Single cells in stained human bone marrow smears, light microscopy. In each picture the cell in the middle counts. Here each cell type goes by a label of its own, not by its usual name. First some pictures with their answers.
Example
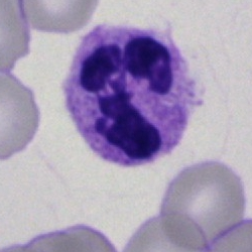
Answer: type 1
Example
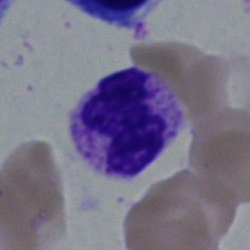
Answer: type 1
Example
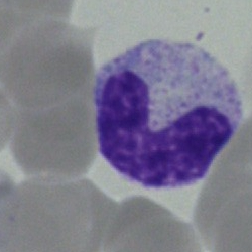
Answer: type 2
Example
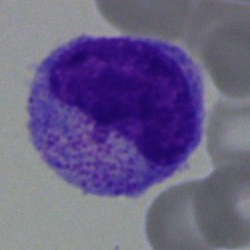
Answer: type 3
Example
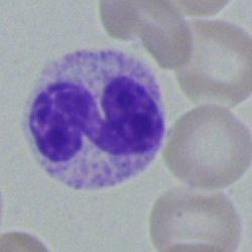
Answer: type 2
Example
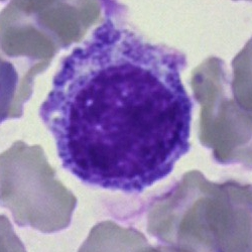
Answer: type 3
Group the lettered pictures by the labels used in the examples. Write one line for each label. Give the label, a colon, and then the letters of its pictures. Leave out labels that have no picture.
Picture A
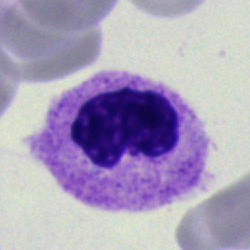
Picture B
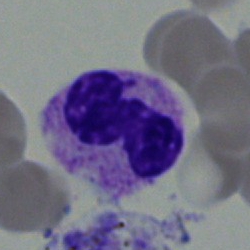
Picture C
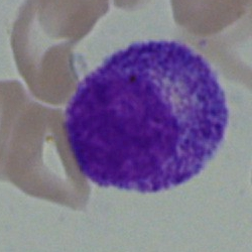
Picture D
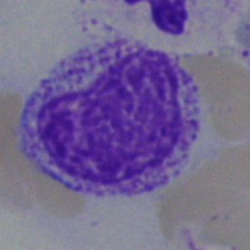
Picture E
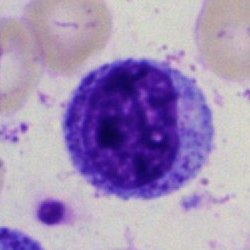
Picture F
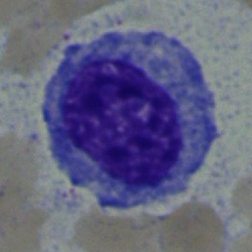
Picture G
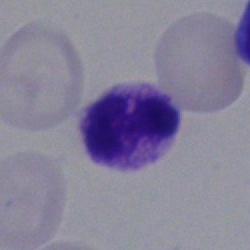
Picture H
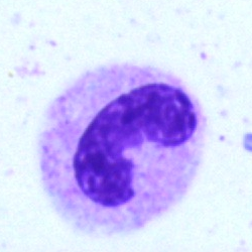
type 1: G
type 2: A, B, H
type 3: C, D, E, F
